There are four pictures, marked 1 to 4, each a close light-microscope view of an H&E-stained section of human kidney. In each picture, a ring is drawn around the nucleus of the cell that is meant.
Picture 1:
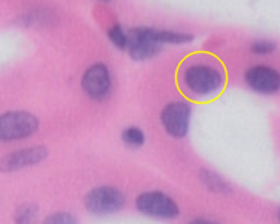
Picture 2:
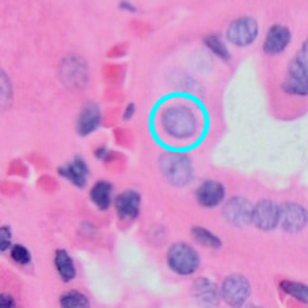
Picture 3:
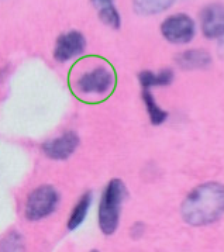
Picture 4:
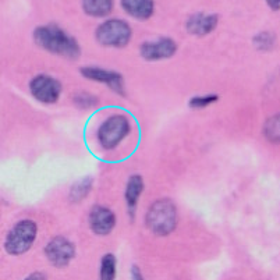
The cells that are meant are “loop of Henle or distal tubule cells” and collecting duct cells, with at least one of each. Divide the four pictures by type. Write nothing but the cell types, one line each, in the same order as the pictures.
loop of Henle or distal tubule cell
collecting duct cell
loop of Henle or distal tubule cell
loop of Henle or distal tubule cell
